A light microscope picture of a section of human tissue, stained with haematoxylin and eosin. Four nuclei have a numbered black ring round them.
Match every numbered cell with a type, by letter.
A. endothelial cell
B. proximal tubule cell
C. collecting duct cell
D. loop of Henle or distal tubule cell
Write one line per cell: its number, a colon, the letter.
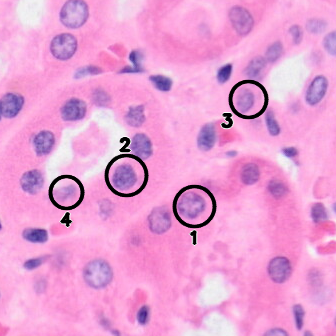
1: B
2: D
3: C
4: D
